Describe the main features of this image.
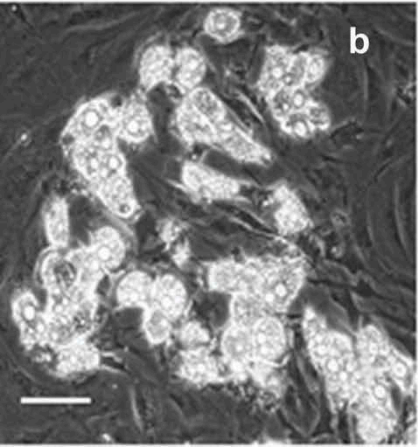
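Cultured adipocytes seen in phase contrast, grouped in clusters of rounded cells. Each cell is crowded with many bright, highly refractile round lipid droplets of differing sizes, which give the cells a foamy, bubbly look and hide most other cytoplasmic detail. The droplet-filled cells are plump and bulge above the dish, forming irregular groups. Between and around the clusters lies a darker background of flat, spread, spindle-shaped cells without droplets, whose thin outlines and elongated forms can be made out faintly. The contrast between the bright round droplets and the dark, flat surrounding cells is striking.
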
